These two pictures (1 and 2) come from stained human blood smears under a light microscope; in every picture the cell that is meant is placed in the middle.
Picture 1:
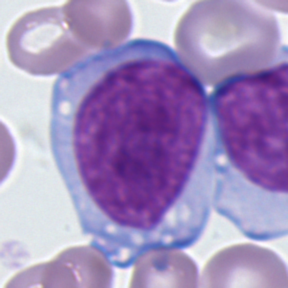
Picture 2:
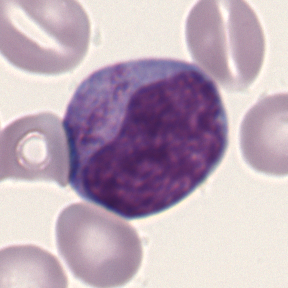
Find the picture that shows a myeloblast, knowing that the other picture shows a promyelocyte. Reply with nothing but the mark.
1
